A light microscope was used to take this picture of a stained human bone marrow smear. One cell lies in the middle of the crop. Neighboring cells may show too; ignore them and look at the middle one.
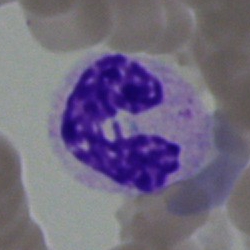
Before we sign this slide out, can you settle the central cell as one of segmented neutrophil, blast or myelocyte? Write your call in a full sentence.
The cell shown in the center of this light-microscope crop is a segmented neutrophil.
